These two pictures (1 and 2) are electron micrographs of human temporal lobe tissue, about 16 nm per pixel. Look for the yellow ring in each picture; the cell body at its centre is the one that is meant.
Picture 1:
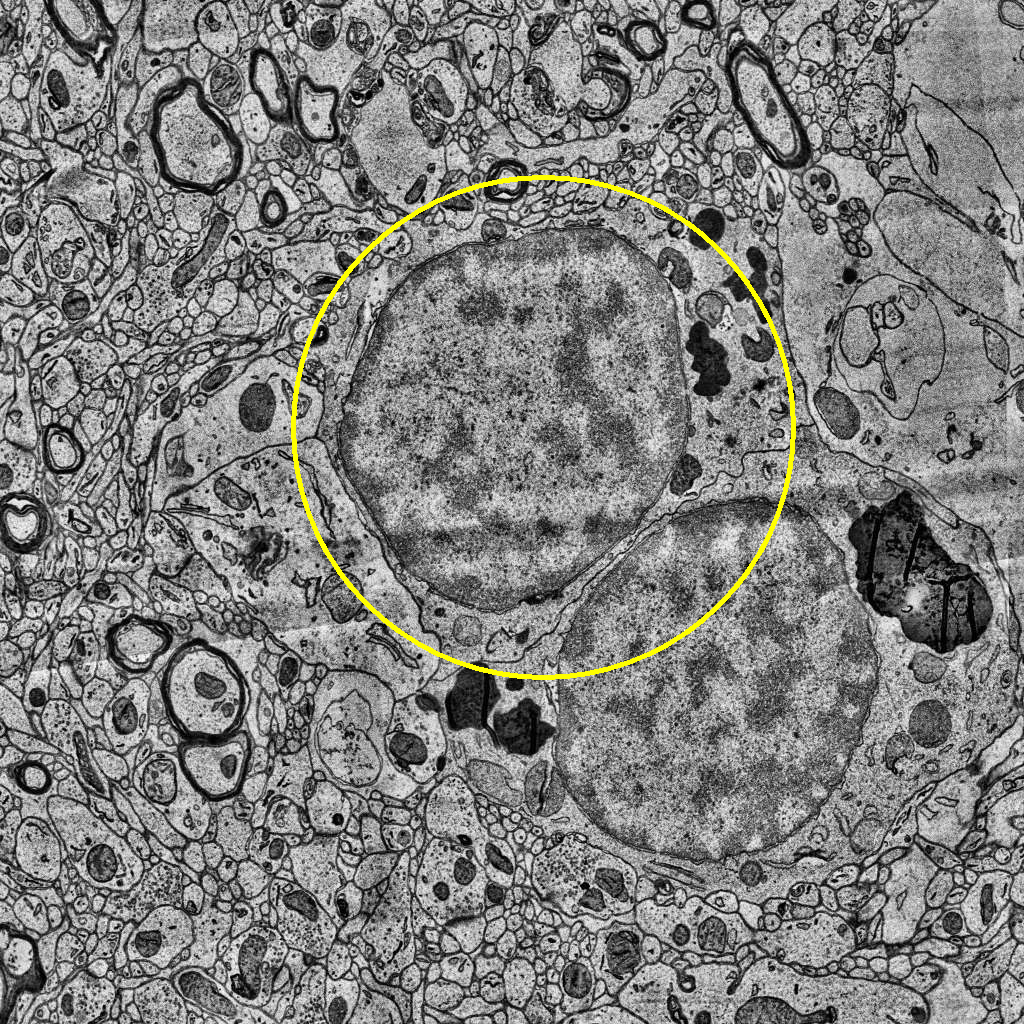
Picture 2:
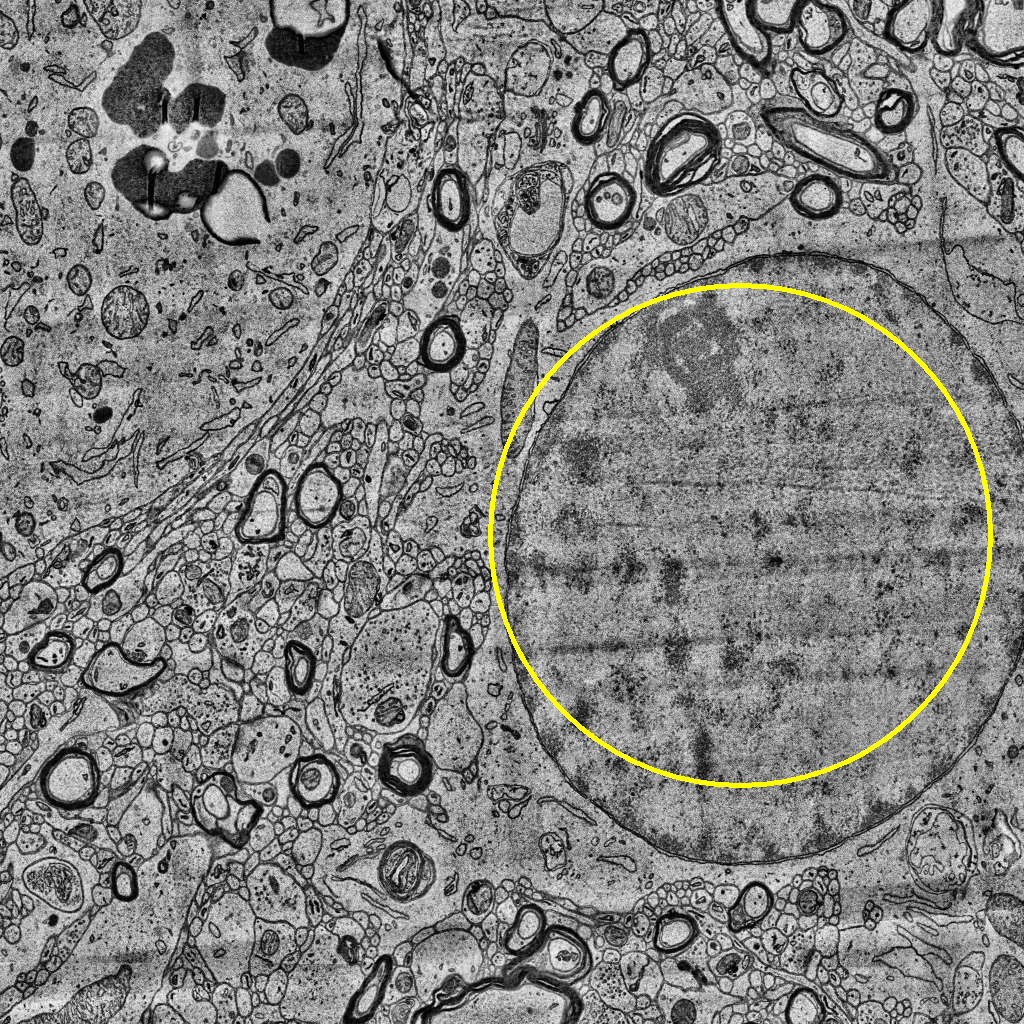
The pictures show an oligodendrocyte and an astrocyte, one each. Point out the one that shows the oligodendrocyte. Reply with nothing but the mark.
1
